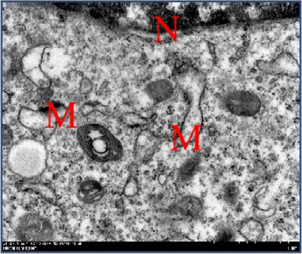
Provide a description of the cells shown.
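The cytoplasm contains many pale, empty-looking vacuoles of different sizes. Near the left there is a body made of concentric, onion-like membrane layers. The mitochondria are small, rounded and dark, and their inner structure is hard to make out. Compared with a healthy cell, the cytoplasm looks disrupted and full of vacuoles.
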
